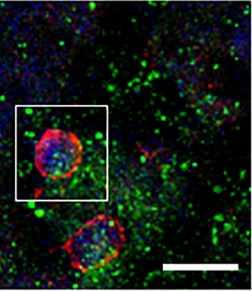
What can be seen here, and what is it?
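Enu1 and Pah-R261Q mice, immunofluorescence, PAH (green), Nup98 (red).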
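A field of liver tissue with the nuclei of hepatocytes stained blue against a dark background. Two round nuclei stand out in the left half. Each is bounded by a thin red rim that traces the edge of the nucleus, and the upper one is enclosed by a white square. Small bright green dots, varying in size, are scattered across the surrounding cytoplasm between the nuclei. Some of them lie close against the red rims. Fainter red speckles and a diffuse greenish haze fill the rest of the field, where the cell borders cannot be made out.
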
